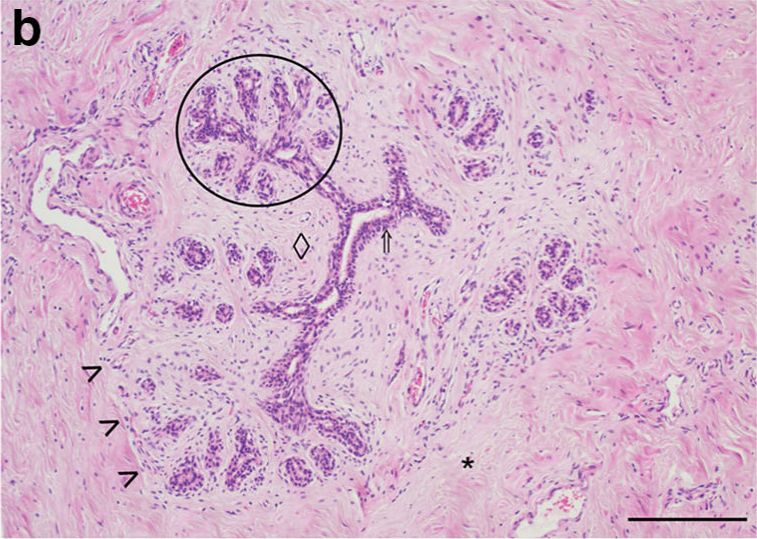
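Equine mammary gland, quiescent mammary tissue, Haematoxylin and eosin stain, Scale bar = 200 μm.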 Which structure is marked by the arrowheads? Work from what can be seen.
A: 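The arrowheads line up along the edge of the lobule. On one side the stroma is paler and more cellular, on the other denser pink collagen.
Answer: The border between the two types of stroma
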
